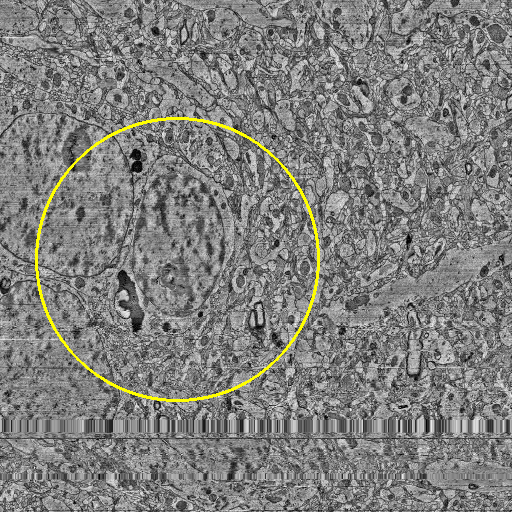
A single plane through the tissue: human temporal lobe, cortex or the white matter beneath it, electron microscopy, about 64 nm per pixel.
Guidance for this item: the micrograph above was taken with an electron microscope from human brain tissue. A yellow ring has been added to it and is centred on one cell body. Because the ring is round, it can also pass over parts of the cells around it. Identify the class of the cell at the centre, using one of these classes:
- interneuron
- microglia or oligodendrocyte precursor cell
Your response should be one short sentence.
The ring surrounds the body of an interneuron.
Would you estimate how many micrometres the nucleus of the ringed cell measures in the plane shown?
About 9 by 6 micrometers for the nucleus, in this plane.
